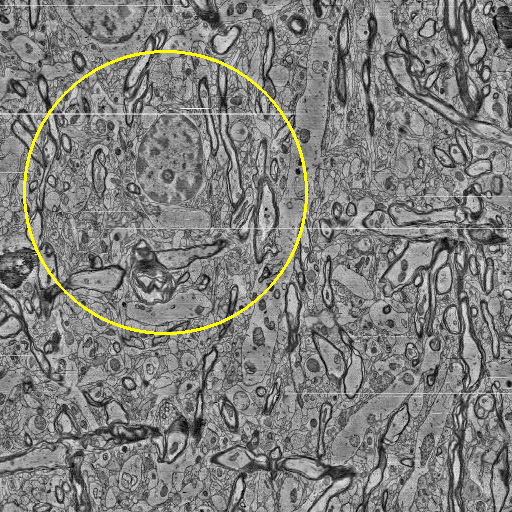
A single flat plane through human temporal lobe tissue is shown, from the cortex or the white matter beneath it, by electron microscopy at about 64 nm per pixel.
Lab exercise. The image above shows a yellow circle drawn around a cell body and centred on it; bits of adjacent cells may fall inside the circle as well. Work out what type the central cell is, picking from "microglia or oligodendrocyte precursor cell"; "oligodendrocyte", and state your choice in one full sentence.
In the image above, the cell at the centre of the yellow circle is a microglial cell or oligodendrocyte precursor cell.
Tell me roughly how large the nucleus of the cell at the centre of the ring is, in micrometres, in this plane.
The ringed cell's nucleus measures approximately 6 by 4 micrometres in this plane.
